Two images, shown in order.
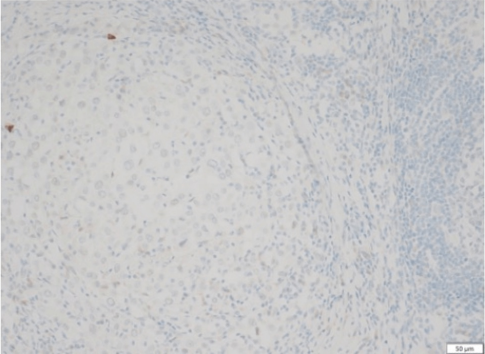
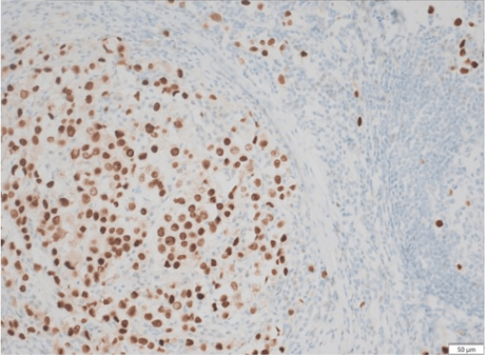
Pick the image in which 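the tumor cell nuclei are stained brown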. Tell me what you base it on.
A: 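The second image. First image: tumor cell nuclei are pale blue, with almost no brown. Second image: most tumor cell nuclei in the cluster are dark brown.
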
